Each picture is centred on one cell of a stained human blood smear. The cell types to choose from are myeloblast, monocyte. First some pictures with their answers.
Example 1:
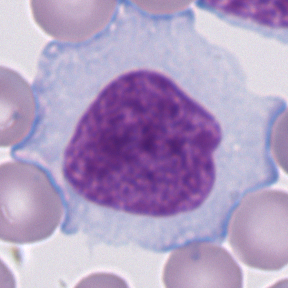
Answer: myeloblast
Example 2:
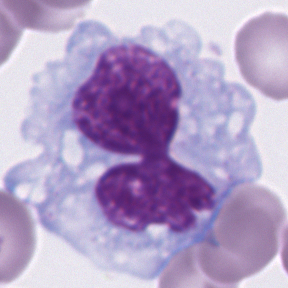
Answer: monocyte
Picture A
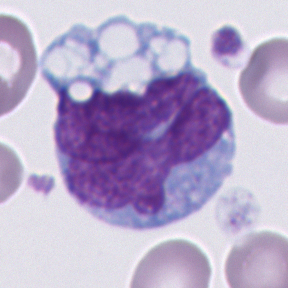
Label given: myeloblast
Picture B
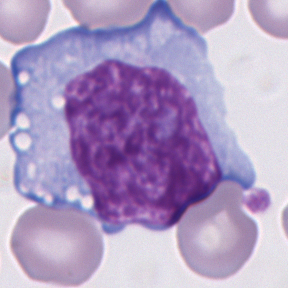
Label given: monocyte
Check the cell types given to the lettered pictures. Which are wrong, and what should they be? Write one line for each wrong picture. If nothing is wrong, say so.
A is labelled myeloblast; correct label: monocyte
B is labelled monocyte; correct label: myeloblast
